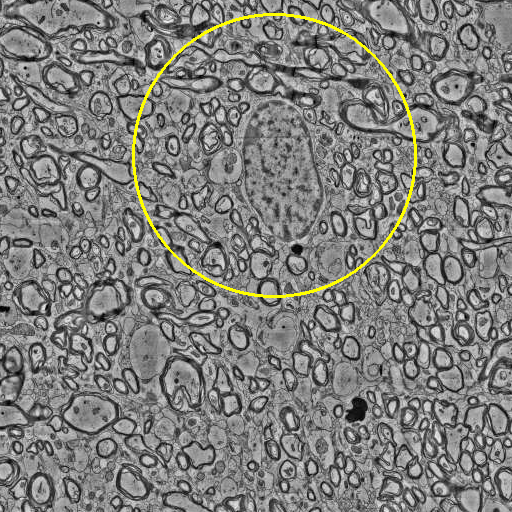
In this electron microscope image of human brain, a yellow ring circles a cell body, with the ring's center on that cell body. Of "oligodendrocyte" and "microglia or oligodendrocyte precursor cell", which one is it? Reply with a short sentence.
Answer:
It is a microglial cell or oligodendrocyte precursor cell at the center of the ring.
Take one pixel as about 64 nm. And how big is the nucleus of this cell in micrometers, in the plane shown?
About 9 by 5 micrometres, the nucleus being clearly longer than it is wide in this plane.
